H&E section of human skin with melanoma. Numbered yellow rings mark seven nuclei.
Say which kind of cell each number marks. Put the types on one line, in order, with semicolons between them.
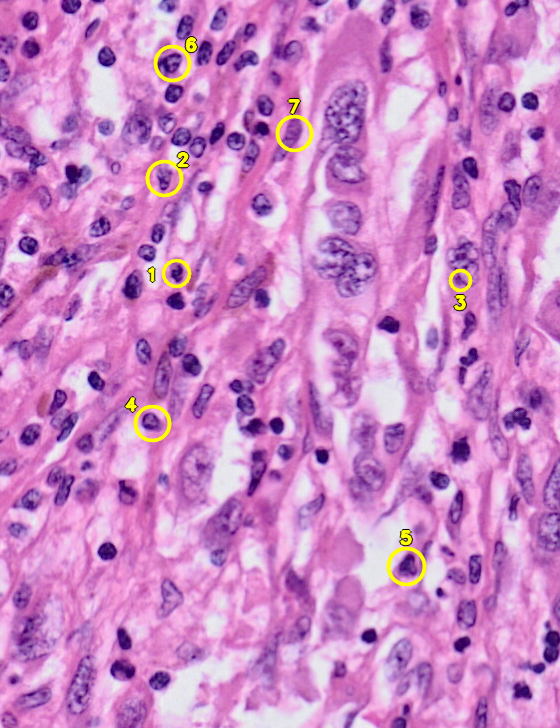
plasma cell; lymphocyte; melanoma cell; lymphocyte; lymphocyte; plasma cell; macrophage or monocyte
